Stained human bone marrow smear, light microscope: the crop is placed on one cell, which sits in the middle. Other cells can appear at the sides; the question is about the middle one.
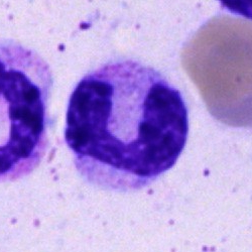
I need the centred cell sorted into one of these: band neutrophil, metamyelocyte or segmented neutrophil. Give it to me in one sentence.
The cell shown in the center of this light-microscope crop is a band neutrophil.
